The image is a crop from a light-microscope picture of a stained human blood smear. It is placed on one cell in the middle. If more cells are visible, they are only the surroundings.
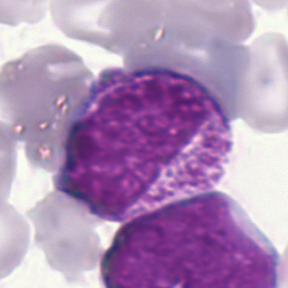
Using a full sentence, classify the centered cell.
The central element of this crop is a cell, namely a myelocyte.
